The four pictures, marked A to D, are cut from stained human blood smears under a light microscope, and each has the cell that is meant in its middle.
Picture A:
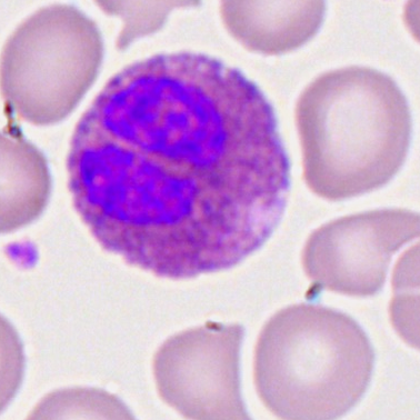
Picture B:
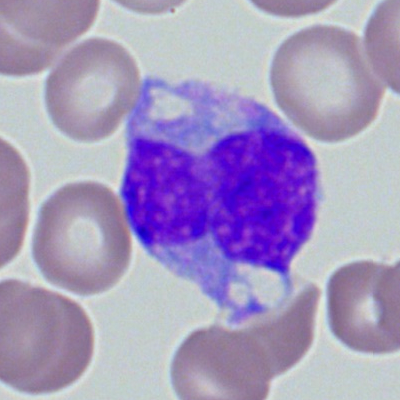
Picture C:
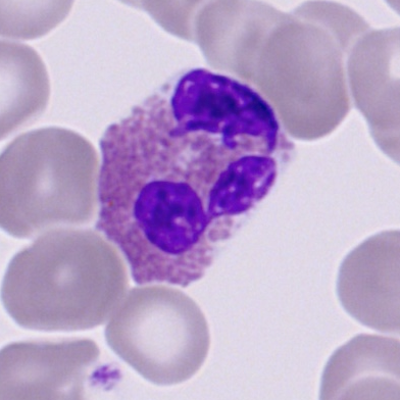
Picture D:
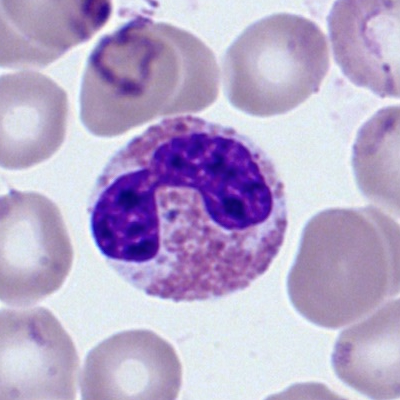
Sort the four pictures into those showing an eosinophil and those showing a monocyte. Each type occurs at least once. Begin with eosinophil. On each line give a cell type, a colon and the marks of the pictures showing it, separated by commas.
eosinophil: A, C, D
monocyte: B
